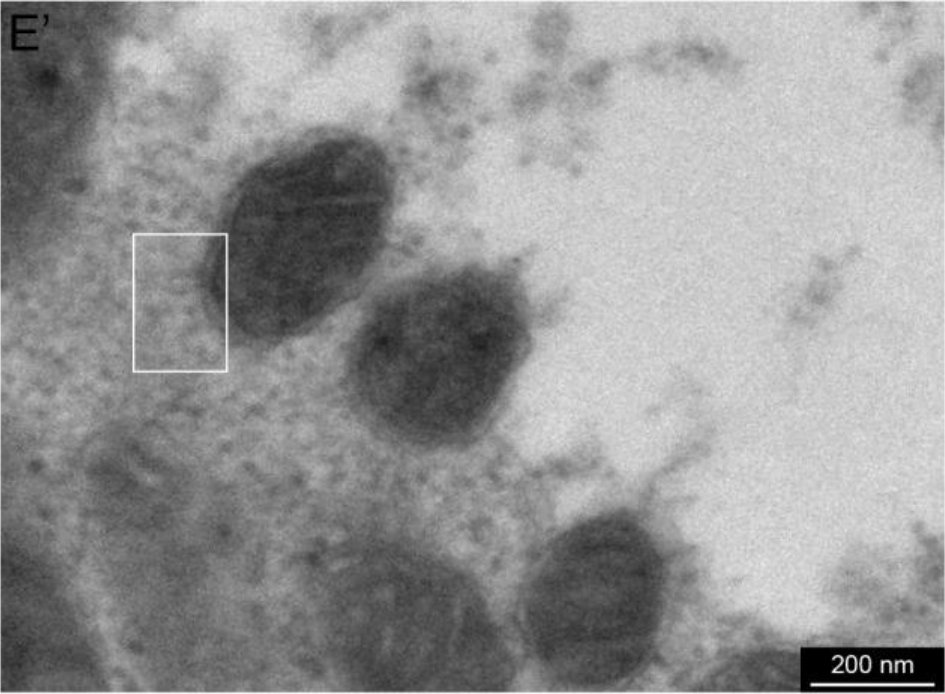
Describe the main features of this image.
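Several dark oval mitochondria with faint cristae sit along the boundary between the two phases. The darker phase has a finely granular texture of small dense particles, while the pale phase holds only loose, wispy flocculent material.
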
